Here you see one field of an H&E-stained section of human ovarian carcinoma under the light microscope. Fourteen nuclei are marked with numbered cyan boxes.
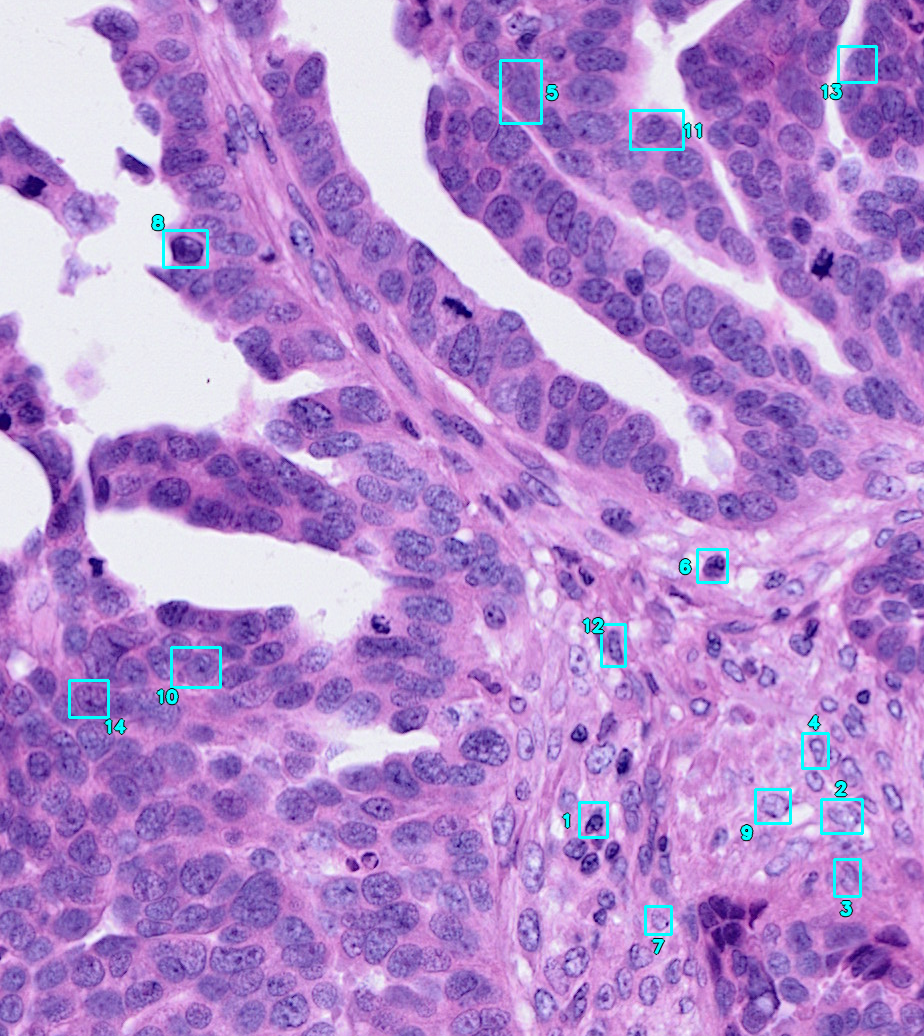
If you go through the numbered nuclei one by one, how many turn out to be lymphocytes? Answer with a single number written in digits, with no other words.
2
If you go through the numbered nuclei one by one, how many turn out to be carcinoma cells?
6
